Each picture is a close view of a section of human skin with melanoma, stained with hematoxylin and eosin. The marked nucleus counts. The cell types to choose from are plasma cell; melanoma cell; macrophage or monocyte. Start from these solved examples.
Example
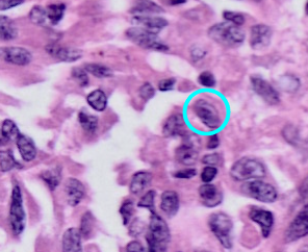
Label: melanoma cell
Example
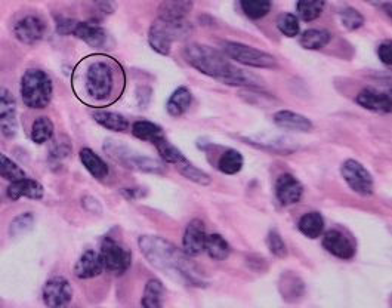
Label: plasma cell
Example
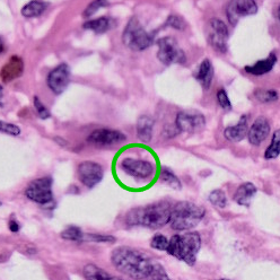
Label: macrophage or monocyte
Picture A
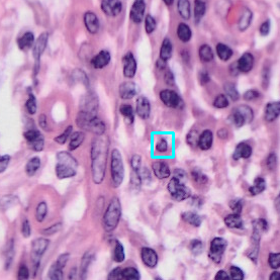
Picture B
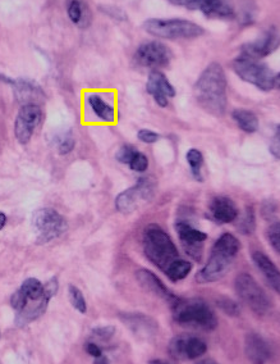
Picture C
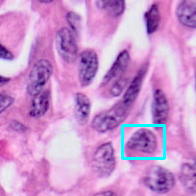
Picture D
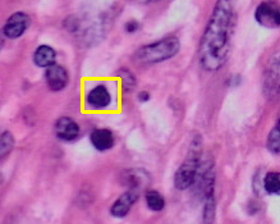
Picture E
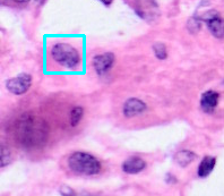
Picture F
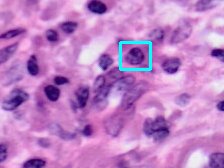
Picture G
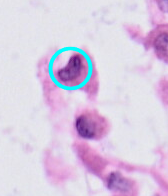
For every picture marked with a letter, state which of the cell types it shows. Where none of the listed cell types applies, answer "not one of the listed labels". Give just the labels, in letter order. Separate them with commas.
plasma cell, not one of the listed labels, melanoma cell, not one of the listed labels, macrophage or monocyte, plasma cell, macrophage or monocyte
